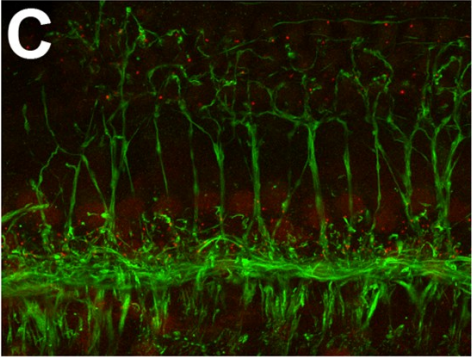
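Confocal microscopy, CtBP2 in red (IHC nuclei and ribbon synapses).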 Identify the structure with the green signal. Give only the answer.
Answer: Nerve fibres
